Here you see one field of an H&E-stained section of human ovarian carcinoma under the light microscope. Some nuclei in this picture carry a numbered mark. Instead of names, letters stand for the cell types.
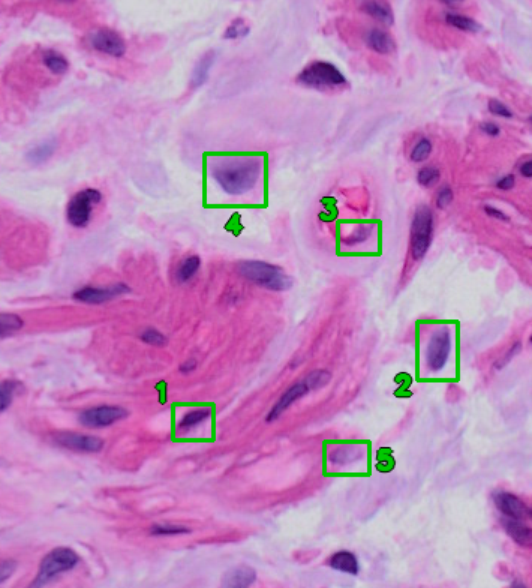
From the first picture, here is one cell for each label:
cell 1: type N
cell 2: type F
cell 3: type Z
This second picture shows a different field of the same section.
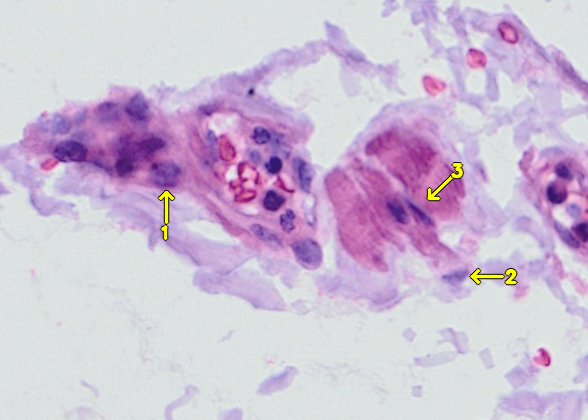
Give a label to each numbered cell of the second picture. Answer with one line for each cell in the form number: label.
1: type Z
2: type F
3: type N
